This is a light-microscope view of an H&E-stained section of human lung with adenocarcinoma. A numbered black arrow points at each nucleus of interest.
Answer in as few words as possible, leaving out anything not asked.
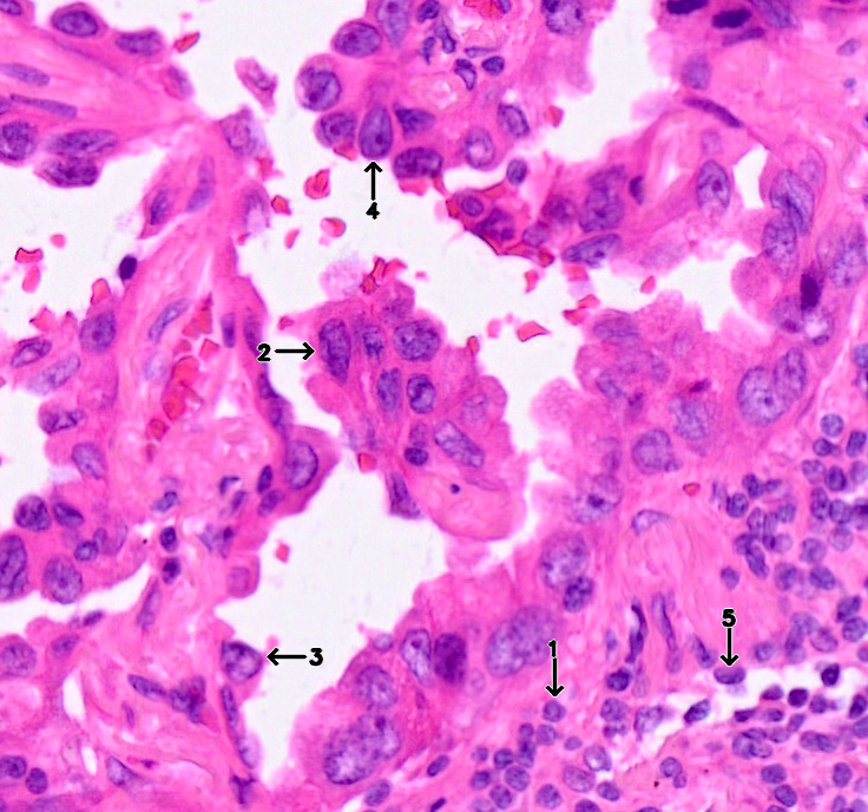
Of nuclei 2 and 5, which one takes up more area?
2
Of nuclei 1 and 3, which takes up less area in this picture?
1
